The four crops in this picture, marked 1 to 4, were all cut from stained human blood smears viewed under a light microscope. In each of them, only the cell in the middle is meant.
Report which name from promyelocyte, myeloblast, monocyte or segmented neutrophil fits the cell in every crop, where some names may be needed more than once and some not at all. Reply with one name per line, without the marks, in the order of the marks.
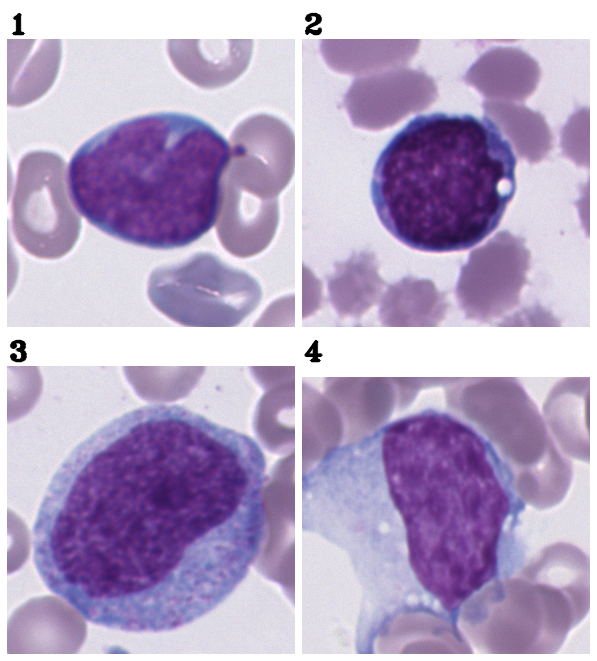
myeloblast
monocyte
promyelocyte
myeloblast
